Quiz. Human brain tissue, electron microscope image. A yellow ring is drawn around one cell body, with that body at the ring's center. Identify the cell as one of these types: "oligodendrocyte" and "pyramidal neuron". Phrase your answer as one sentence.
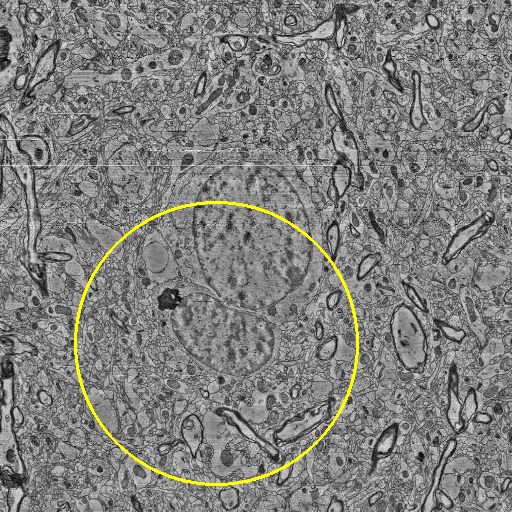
At the center of the ring sits an oligodendrocyte.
